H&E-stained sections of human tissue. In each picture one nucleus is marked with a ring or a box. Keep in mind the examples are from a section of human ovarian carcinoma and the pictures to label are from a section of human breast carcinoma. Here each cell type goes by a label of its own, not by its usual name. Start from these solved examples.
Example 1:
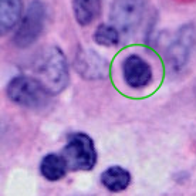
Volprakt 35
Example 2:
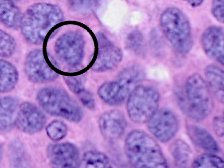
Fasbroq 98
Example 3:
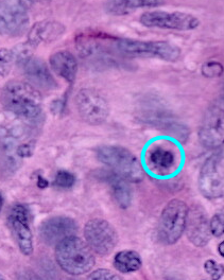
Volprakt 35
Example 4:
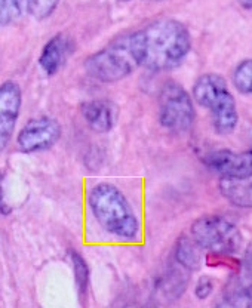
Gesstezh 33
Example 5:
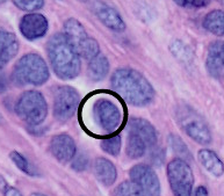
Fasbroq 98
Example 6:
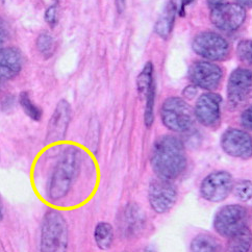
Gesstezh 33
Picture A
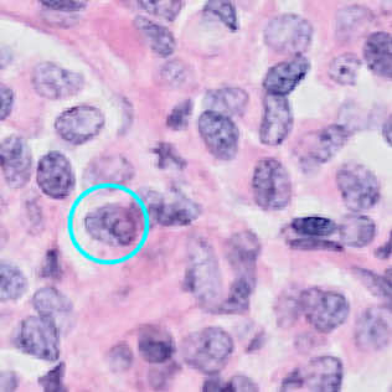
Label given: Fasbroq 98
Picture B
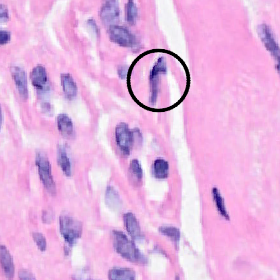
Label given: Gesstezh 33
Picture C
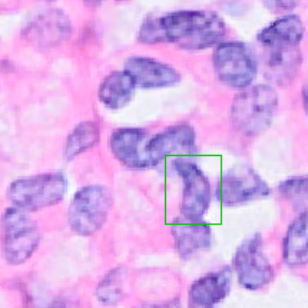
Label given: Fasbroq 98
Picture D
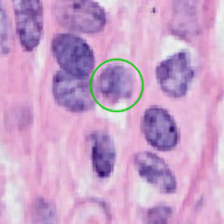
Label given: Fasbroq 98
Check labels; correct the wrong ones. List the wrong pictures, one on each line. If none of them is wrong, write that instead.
None of the labels needs changing.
